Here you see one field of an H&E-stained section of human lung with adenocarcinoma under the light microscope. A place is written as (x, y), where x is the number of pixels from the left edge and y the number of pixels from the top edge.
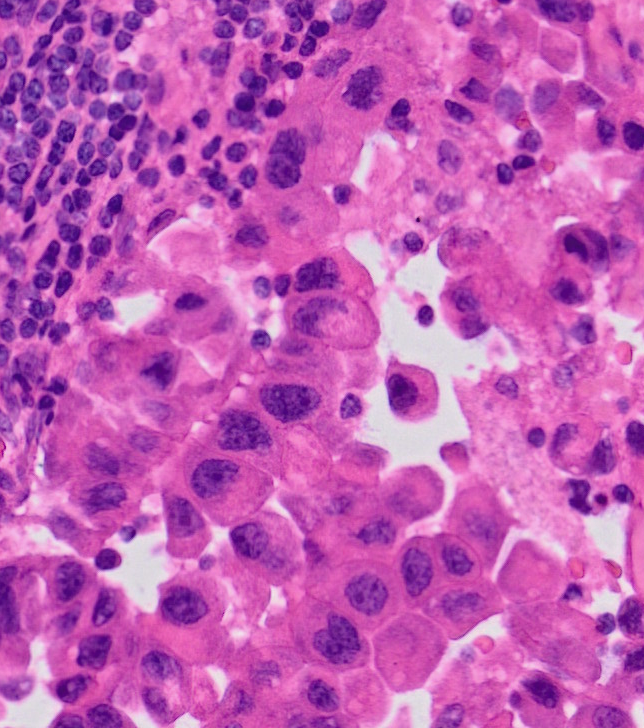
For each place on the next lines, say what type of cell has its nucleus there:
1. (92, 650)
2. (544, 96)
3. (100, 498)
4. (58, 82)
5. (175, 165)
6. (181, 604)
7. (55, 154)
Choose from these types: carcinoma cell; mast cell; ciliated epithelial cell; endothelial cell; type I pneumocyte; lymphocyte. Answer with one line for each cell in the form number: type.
1: carcinoma cell
2: carcinoma cell
3: carcinoma cell
4: lymphocyte
5: lymphocyte
6: carcinoma cell
7: lymphocyte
